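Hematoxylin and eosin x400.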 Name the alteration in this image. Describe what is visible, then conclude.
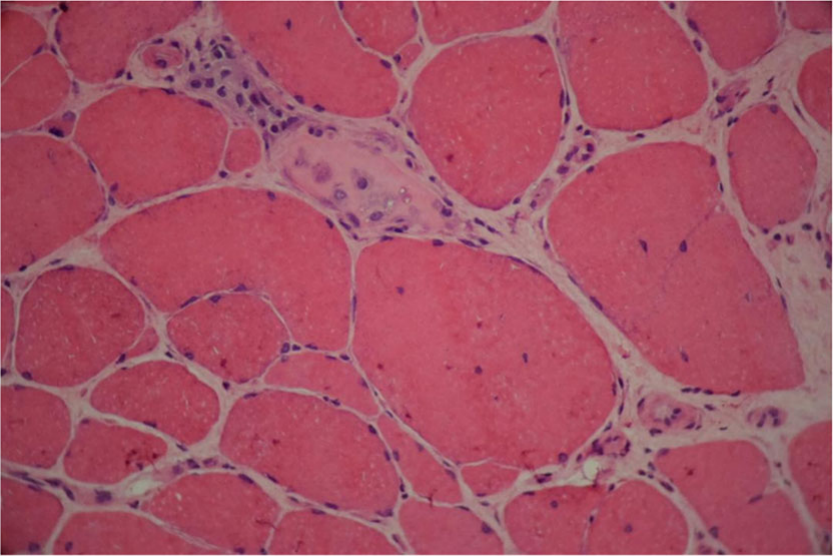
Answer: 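Pink fibers in cross-section range from small rounded profiles to very large polygonal ones. Large and small fibers lie side by side. The answer: Prominent fibers size variation.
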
